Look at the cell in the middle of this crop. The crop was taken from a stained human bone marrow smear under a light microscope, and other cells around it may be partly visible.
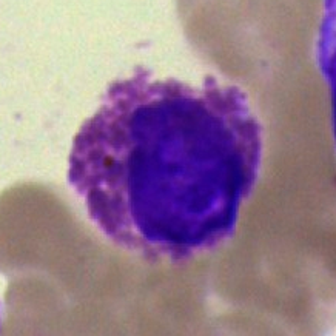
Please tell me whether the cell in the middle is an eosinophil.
yes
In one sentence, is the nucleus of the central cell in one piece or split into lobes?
The nucleus amounts to one compact mass with a round, oval or kidney-shaped outline.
